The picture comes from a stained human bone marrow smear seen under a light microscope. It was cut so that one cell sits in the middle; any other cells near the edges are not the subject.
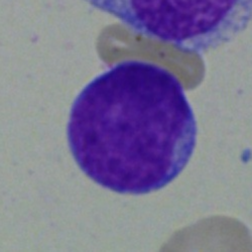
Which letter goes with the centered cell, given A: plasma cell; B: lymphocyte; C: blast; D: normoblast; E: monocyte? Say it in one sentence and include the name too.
The cell placed in the middle is a blast; option C is correct.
